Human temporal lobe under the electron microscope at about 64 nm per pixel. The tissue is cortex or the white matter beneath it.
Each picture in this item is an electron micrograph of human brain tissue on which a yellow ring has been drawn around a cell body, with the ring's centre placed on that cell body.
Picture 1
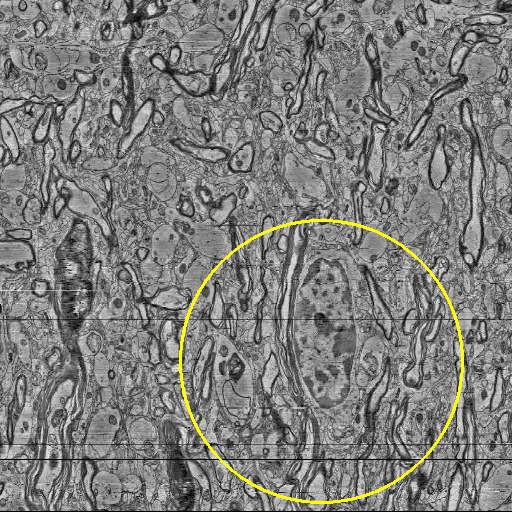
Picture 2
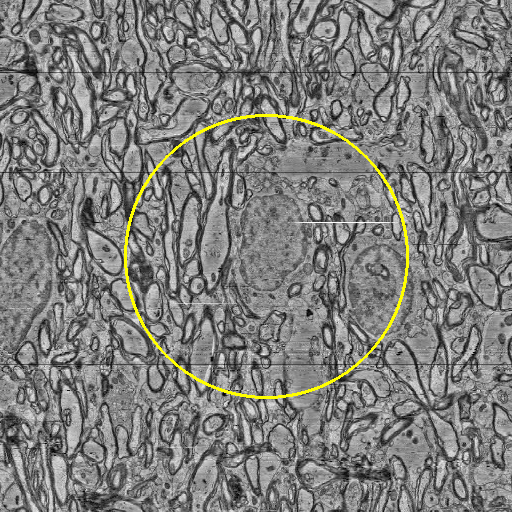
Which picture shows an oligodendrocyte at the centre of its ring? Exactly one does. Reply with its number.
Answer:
2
